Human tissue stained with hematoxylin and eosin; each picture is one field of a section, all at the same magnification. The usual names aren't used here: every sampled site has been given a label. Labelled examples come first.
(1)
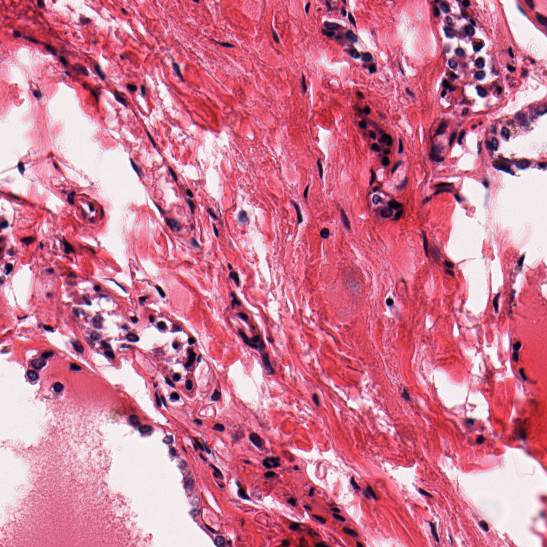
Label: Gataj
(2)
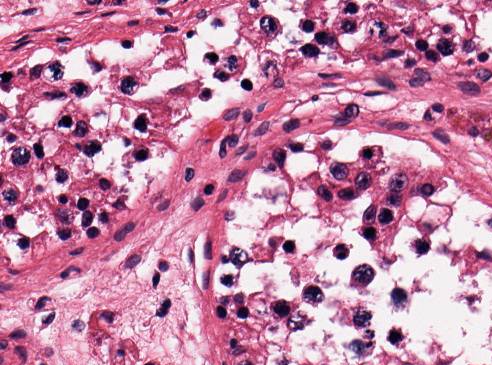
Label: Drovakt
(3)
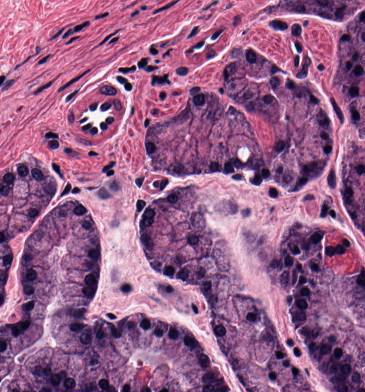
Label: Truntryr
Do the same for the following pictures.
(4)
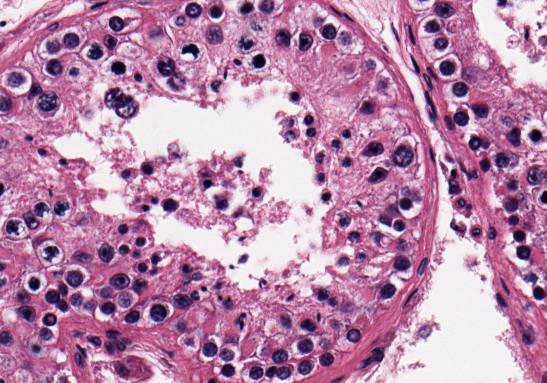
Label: Drovakt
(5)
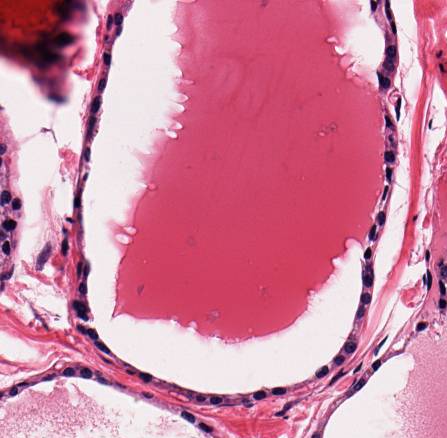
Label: Gataj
